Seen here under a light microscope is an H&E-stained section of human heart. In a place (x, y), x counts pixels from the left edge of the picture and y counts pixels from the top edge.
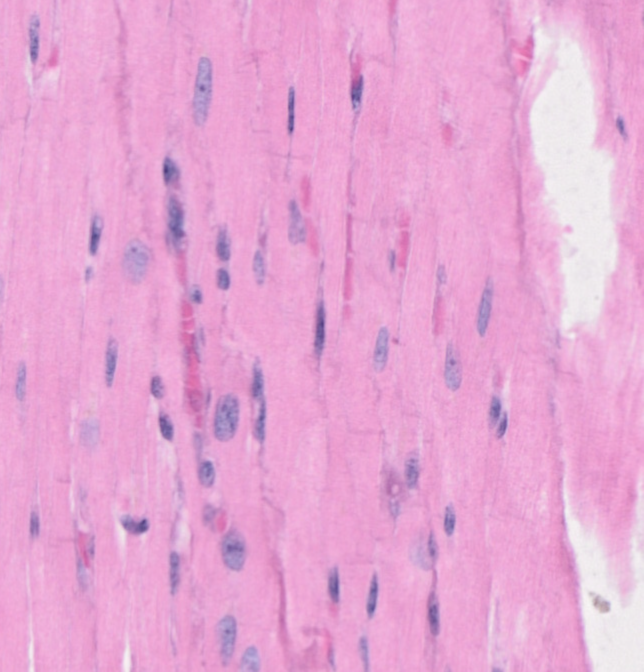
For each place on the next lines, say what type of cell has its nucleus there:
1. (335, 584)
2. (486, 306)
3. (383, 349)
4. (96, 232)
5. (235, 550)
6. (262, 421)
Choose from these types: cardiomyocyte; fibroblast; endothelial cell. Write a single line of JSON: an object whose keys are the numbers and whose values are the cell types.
{"1": "endothelial cell", "2": "cardiomyocyte", "3": "cardiomyocyte", "4": "endothelial cell", "5": "cardiomyocyte", "6": "fibroblast"}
